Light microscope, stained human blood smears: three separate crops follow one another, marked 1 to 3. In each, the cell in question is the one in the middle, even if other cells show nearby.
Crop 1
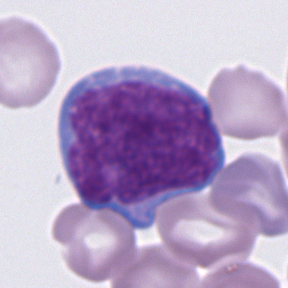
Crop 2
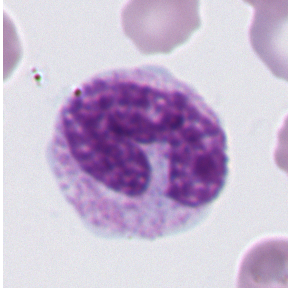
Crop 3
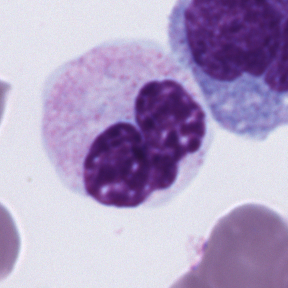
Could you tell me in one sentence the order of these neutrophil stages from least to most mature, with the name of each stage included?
By increasing maturity, the order is crop 1 (a myeloblast), crop 2 (a band neutrophil) and crop 3 (a segmented neutrophil).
